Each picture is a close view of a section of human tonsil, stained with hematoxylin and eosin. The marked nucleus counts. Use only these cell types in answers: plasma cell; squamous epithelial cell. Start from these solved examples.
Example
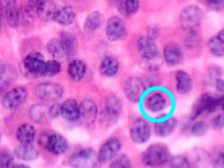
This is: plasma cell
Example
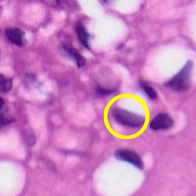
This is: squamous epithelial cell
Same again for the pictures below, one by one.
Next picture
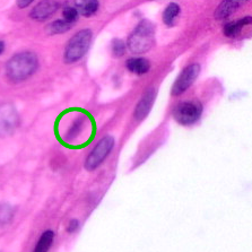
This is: squamous epithelial cell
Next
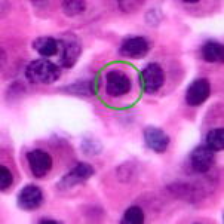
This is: plasma cell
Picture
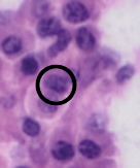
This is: plasma cell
